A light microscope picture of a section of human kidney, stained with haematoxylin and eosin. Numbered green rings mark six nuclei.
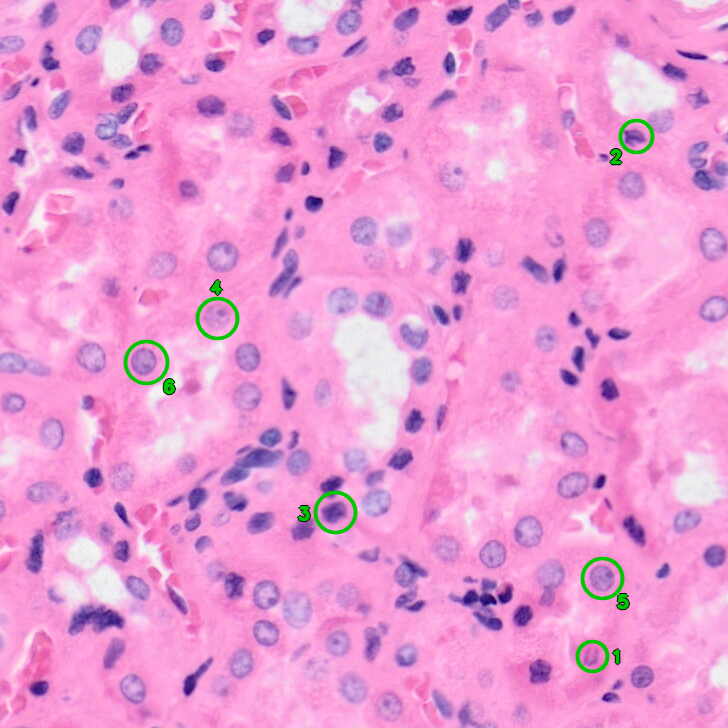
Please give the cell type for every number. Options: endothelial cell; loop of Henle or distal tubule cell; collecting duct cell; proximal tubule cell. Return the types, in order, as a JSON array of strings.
["proximal tubule cell", "loop of Henle or distal tubule cell", "loop of Henle or distal tubule cell", "proximal tubule cell", "proximal tubule cell", "proximal tubule cell"]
